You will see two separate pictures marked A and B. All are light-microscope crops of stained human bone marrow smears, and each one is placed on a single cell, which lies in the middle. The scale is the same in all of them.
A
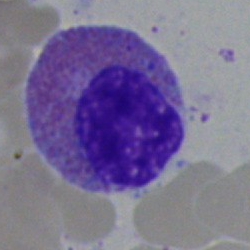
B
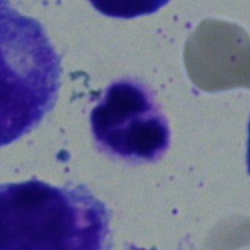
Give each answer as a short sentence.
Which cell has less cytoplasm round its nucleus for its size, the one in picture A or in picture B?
Of the two, the nucleus in picture B makes up the greater part of its cell.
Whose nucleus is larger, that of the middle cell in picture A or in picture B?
The nucleus in picture A is larger, with about 2.5 times the area of the one in picture B.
